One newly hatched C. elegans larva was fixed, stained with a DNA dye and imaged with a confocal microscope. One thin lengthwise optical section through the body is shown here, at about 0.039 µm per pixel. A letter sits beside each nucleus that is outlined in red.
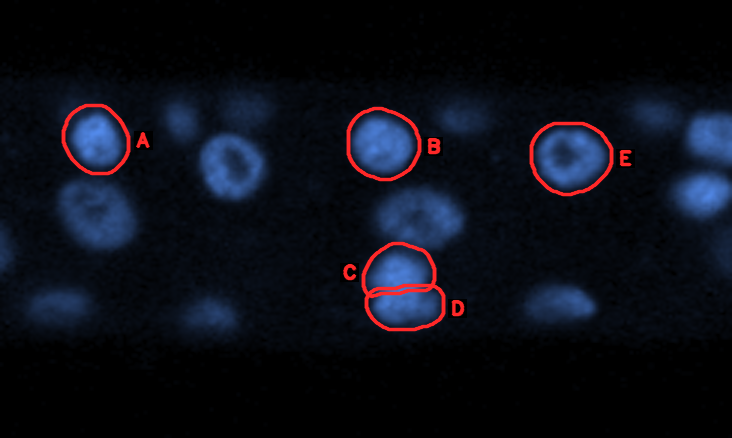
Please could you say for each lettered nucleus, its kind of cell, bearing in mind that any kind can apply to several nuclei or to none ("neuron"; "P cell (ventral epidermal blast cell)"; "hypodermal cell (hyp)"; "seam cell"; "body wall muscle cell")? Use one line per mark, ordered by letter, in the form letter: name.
A: P cell (ventral epidermal blast cell)
B: P cell (ventral epidermal blast cell)
C: neuron
D: body wall muscle cell
E: seam cell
